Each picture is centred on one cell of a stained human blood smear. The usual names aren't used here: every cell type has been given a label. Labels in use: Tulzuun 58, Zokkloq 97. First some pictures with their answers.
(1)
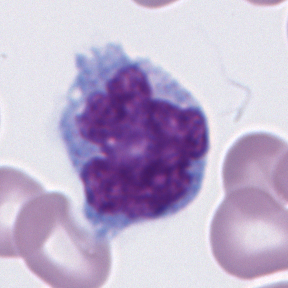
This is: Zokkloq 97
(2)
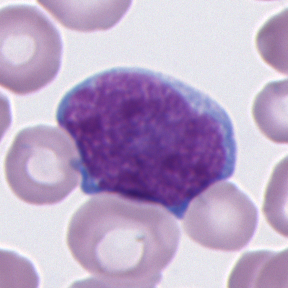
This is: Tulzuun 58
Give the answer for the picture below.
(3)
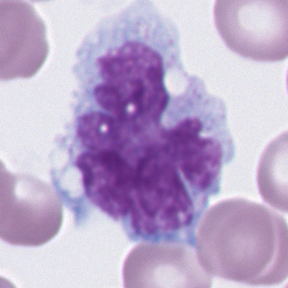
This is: Zokkloq 97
